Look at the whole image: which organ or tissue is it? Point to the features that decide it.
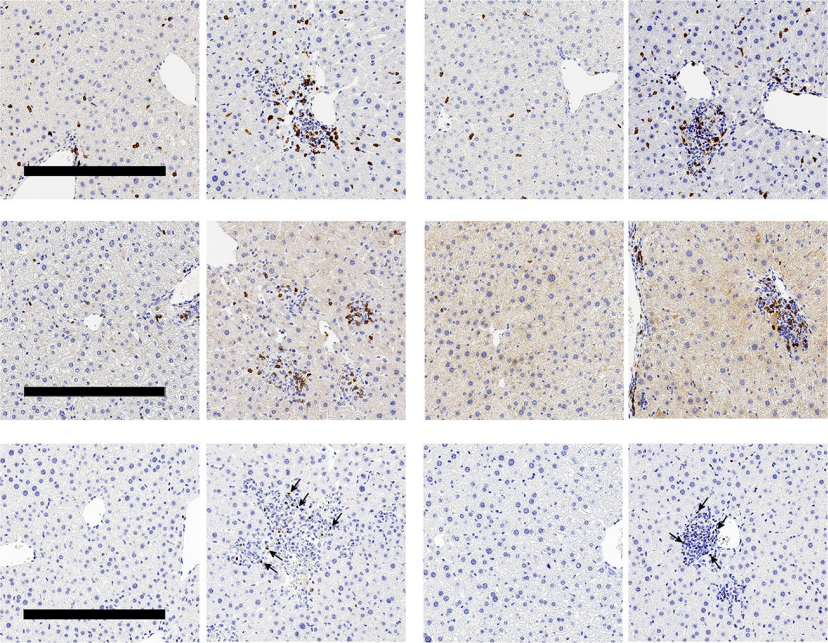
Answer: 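Sheets of large polygonal cells with round central nuclei. Cells arranged in cords around empty vessel lumens. Small sinusoid-like spaces between the cell cords. That points to this answer: liver.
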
